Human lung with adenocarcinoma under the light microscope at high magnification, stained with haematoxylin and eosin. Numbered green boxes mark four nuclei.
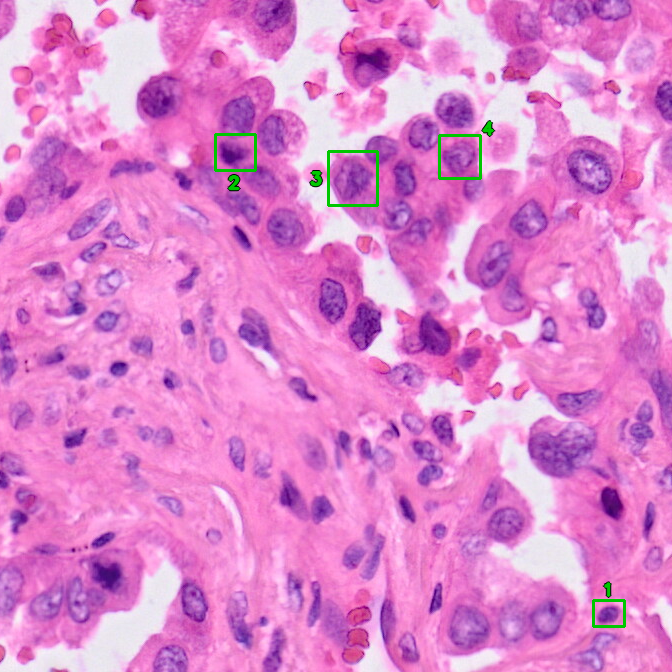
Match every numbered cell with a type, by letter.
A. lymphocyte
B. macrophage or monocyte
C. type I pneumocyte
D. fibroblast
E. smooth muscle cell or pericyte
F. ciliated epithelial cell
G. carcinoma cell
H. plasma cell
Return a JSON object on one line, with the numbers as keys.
{"1": "A", "2": "G", "3": "G", "4": "G"}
